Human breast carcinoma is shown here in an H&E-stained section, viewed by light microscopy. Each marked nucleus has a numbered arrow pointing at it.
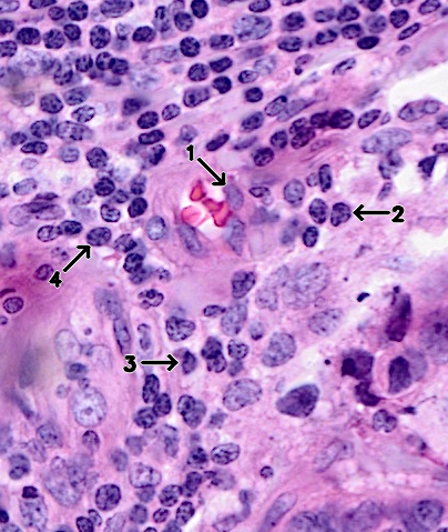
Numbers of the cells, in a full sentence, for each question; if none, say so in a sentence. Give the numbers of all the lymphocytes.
The cells numbered 2, 3 and 4 fall into the category of lymphocytes.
